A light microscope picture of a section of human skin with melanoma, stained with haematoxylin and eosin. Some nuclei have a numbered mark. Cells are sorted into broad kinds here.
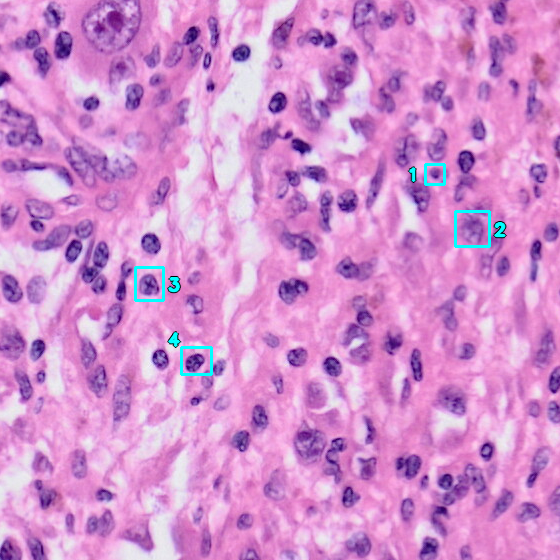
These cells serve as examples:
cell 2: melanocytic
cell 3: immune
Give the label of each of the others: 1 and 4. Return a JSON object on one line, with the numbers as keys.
{"1": "immune", "4": "immune"}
